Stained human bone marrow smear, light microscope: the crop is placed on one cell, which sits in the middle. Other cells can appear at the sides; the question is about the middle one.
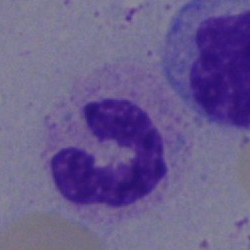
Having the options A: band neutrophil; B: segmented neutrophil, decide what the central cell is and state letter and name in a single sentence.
Option B is the right choice, the central cell being a segmented neutrophil.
